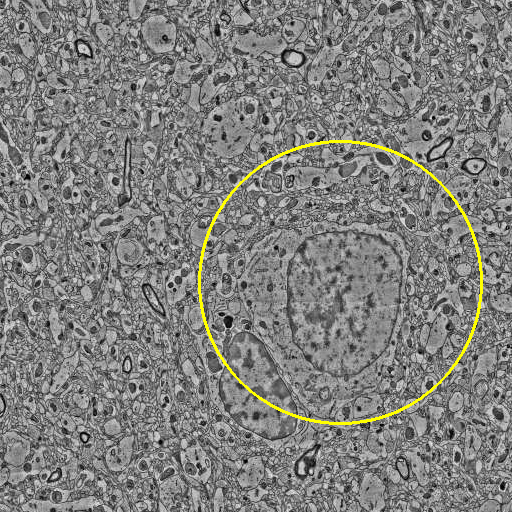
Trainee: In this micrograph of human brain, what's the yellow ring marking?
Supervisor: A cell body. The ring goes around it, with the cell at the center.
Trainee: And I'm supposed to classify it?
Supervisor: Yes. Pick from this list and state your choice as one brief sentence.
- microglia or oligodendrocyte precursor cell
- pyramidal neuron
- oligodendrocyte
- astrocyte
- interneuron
The cell at the ring's center is an interneuron.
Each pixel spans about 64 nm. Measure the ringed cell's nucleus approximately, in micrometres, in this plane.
The ringed cell's nucleus is about 9 micrometres long and 8 micrometres wide in this plane.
